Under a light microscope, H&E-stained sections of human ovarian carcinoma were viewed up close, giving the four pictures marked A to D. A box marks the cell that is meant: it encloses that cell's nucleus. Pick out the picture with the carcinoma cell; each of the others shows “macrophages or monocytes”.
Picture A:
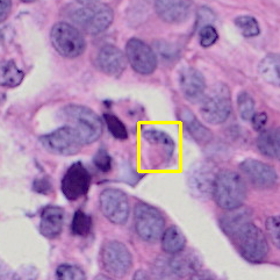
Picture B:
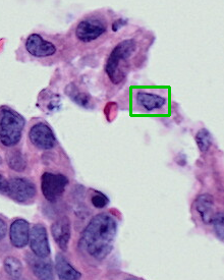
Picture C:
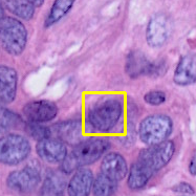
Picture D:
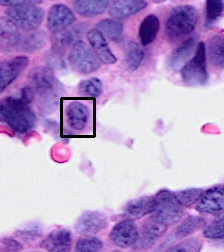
C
